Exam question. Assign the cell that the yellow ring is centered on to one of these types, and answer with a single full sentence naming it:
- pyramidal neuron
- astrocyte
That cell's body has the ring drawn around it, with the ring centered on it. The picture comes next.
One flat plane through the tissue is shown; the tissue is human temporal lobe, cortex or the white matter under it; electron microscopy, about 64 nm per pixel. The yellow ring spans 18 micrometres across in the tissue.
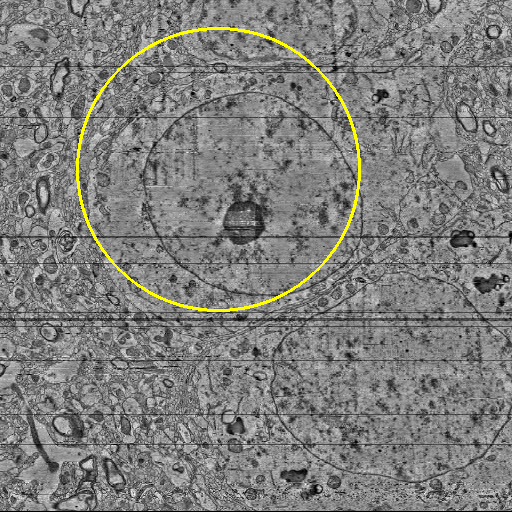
In the micrograph, the cell the yellow ring is centered on is a pyramidal neuron.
